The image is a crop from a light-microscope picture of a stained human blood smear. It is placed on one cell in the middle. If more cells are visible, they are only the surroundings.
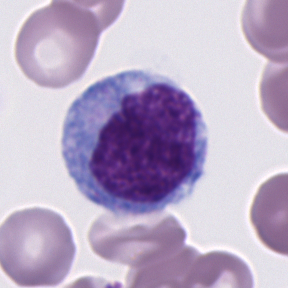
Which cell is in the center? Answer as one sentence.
Where the crop is centred, there is a monocyte.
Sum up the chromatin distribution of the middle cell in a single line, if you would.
Its chromatin is clumped in a coarse pattern.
